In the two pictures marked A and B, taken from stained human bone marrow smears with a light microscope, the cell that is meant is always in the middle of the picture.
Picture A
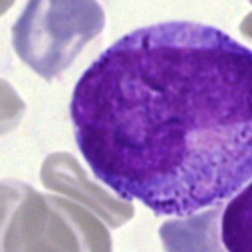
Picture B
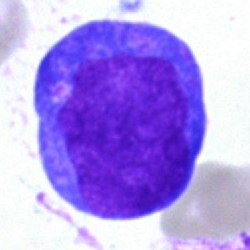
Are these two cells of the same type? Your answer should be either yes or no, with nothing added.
yes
